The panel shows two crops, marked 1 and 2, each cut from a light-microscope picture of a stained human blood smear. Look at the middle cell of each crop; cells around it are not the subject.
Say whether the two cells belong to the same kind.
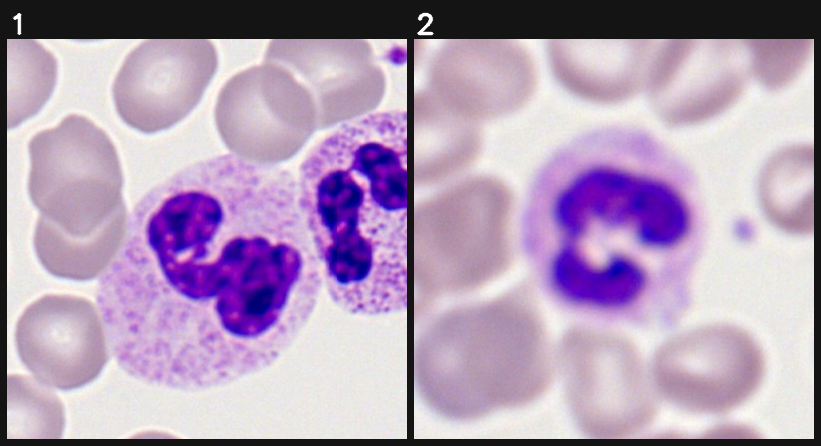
yes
